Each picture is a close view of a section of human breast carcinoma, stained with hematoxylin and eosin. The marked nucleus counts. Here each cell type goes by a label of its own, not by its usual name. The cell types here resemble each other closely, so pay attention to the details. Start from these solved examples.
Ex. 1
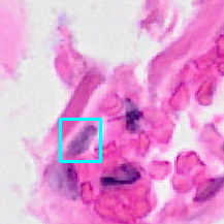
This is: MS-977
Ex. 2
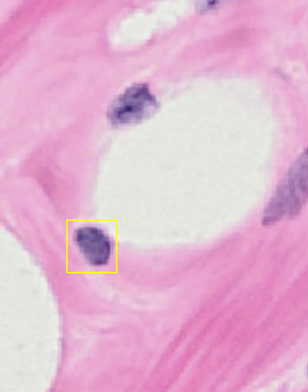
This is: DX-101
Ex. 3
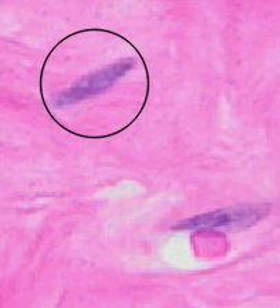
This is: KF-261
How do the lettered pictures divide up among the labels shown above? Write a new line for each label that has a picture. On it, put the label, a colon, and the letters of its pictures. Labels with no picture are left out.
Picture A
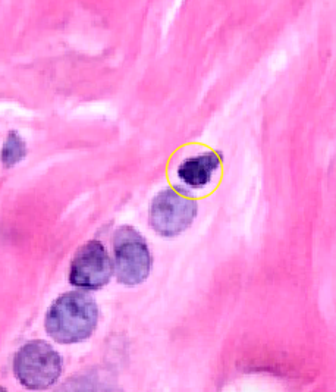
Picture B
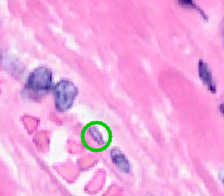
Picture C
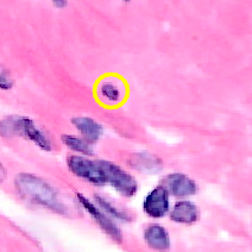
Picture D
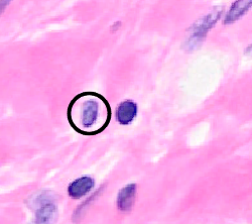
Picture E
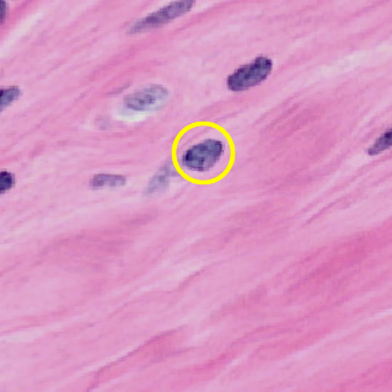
MS-977: B
DX-101: A, C, D, E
